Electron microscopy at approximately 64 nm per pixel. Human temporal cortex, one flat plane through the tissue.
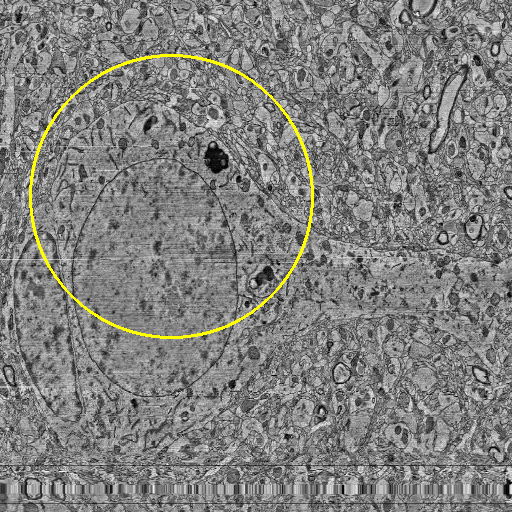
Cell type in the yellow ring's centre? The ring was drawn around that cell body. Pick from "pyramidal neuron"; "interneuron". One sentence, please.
The ringed cell body is that of a pyramidal neuron.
